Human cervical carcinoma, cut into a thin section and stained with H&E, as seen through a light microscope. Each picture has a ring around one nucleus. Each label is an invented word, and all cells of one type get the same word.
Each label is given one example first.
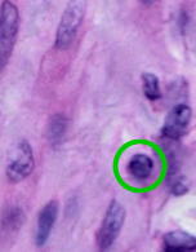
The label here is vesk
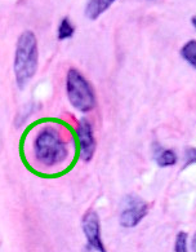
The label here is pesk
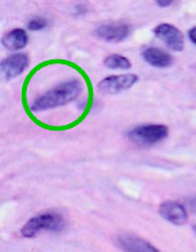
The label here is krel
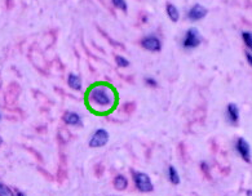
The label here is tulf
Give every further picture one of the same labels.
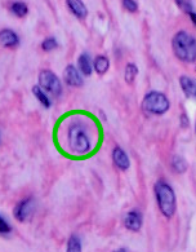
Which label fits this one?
tulf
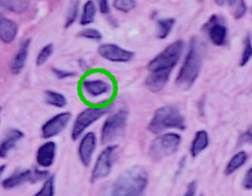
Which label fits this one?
krel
